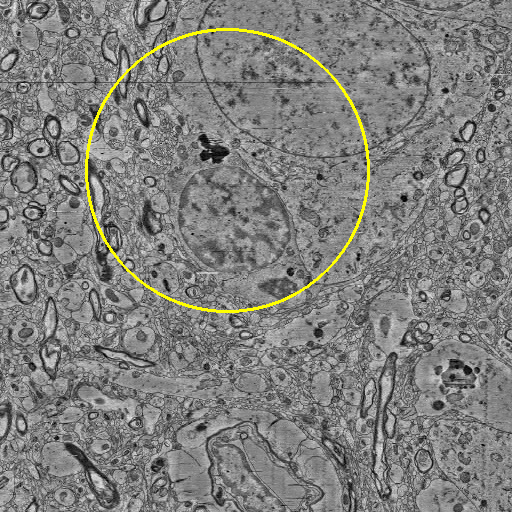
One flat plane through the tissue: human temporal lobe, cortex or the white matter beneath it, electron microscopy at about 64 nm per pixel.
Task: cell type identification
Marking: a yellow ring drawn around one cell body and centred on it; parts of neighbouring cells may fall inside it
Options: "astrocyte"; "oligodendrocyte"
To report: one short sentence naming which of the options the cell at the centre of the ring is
The cell at the centre of the ring is an oligodendrocyte.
